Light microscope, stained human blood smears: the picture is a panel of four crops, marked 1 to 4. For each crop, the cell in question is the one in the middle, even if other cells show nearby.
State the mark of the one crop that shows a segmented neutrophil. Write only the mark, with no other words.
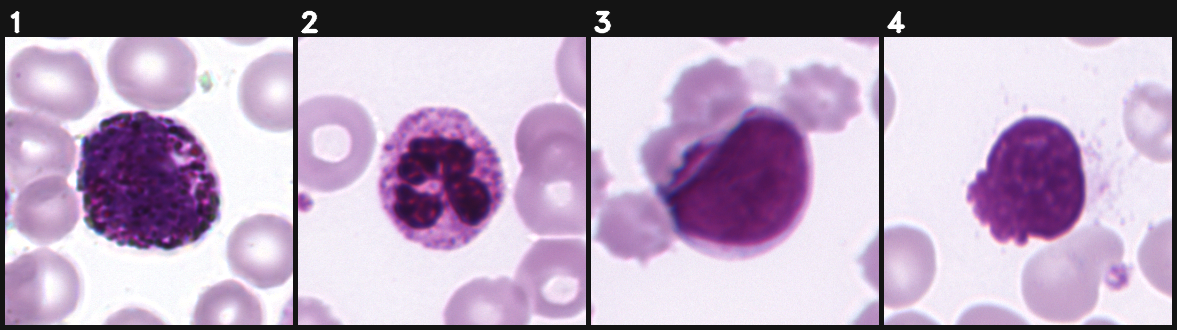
2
